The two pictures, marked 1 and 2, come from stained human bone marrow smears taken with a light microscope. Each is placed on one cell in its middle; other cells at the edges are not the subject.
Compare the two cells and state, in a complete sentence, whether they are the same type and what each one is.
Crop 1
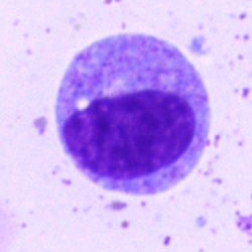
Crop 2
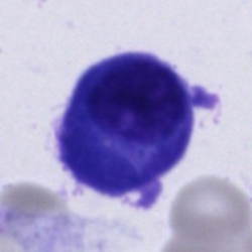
No, the cell in crop 1 is a myelocyte, and the cell in crop 2 is a plasma cell.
